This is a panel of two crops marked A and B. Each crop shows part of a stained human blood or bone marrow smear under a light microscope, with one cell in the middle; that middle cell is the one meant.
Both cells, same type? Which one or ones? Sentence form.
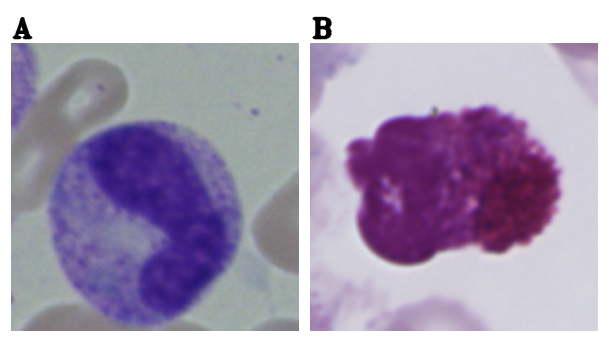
No, whereas crop A shows a band neutrophil, crop B shows an eosinophil.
